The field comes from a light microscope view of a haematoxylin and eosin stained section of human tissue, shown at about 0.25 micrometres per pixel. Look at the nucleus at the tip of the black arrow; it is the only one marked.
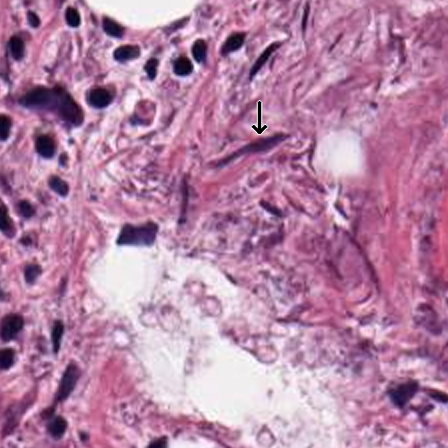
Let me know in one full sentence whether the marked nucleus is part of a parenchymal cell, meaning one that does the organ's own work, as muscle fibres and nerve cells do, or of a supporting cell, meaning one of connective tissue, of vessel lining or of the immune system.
Housed within a supporting cell is the marked nucleus.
